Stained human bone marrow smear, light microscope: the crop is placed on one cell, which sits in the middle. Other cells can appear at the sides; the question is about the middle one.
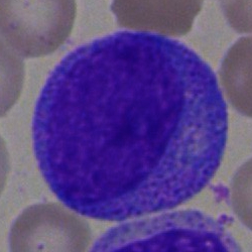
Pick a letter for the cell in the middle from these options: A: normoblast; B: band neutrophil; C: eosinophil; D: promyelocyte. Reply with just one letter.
D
